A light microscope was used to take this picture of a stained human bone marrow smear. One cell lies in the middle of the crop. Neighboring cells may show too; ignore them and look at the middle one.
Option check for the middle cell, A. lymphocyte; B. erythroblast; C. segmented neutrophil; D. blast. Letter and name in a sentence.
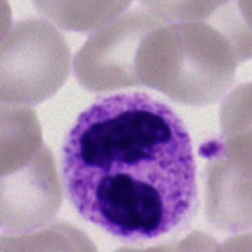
The cell in the middle is a segmented neutrophil, so option C is correct.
